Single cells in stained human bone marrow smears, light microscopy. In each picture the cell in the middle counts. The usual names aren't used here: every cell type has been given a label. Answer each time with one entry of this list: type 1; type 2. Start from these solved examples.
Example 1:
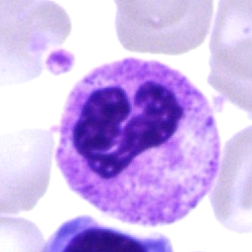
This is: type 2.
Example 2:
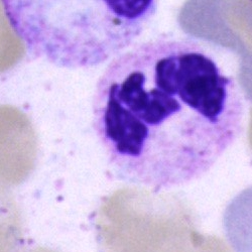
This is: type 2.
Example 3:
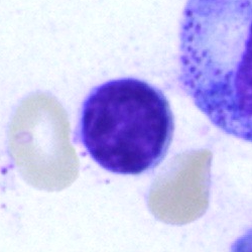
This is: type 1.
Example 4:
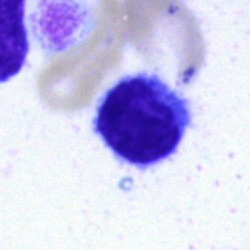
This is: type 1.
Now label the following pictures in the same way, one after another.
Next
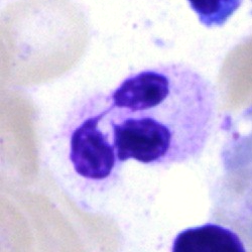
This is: type 2.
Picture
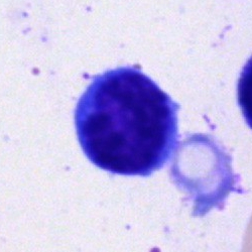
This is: type 1.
